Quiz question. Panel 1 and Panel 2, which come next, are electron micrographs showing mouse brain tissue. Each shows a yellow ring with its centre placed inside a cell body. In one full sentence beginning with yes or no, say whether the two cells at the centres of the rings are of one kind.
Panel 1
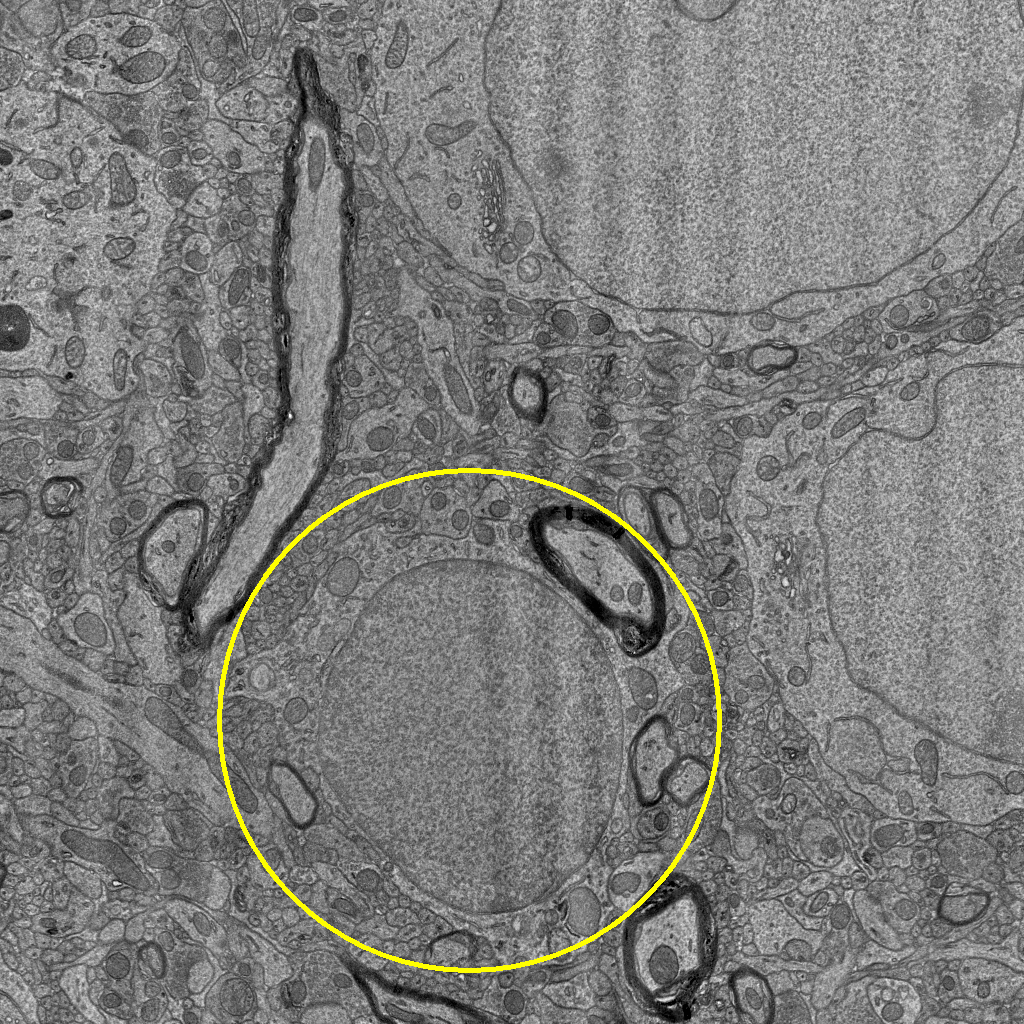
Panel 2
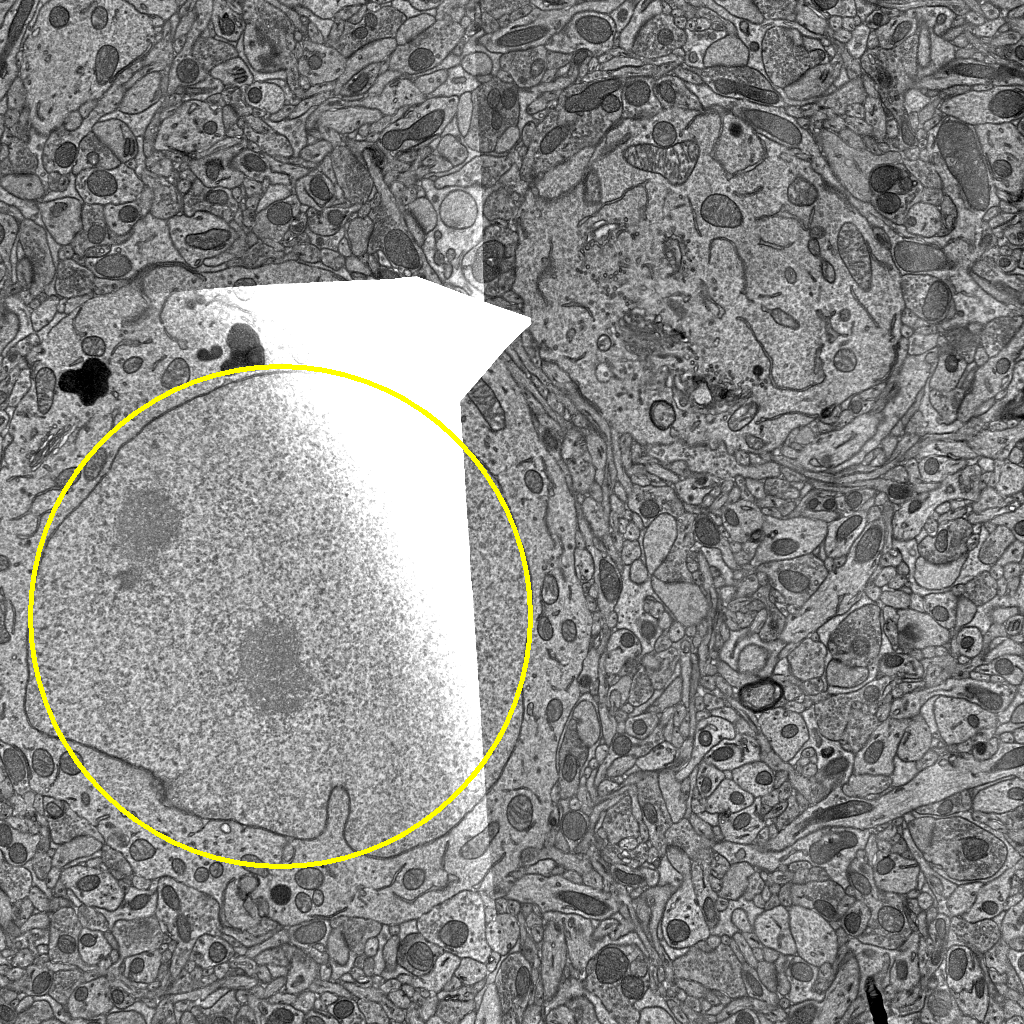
No, Panel 1 and Panel 2 show two kinds of cell at the centre of the ring.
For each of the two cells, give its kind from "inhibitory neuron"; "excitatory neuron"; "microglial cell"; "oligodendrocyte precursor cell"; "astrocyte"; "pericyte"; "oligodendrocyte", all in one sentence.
The ring of the first picture is on an astrocyte, the ring of the second on an excitatory neuron.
